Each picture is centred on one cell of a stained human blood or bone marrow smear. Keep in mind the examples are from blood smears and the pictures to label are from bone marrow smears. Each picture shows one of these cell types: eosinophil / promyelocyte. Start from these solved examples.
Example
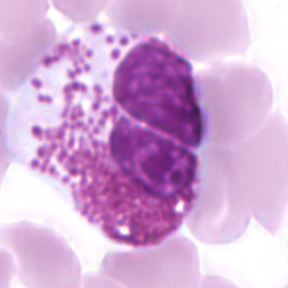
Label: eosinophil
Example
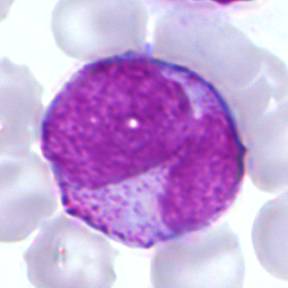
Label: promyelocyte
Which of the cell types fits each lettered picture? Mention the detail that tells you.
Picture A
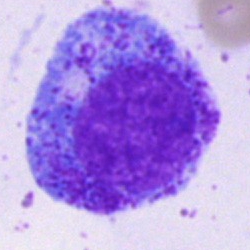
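Label: promyelocyte. The nuclear chromatin looks finely stippled rather than coarsely clumped.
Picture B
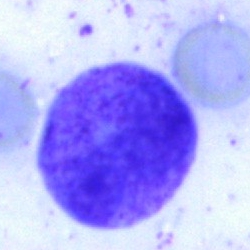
Label: promyelocyte. The chromatin is finely dispersed rather than gathered into coarse clumps.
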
